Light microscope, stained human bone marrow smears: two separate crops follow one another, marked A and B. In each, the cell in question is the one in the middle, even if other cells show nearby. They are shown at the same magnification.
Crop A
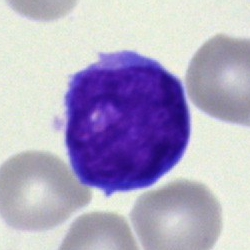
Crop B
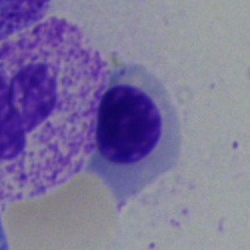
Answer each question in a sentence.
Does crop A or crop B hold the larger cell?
Larger is the cell in crop A, at roughly 1.5 times the area of the other.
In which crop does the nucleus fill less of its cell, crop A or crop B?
It is the cell in crop B that is filled less by its nucleus.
